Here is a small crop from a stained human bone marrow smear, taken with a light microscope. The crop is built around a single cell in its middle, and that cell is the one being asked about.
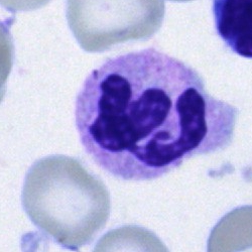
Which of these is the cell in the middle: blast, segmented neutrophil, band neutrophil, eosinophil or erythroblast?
segmented neutrophil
